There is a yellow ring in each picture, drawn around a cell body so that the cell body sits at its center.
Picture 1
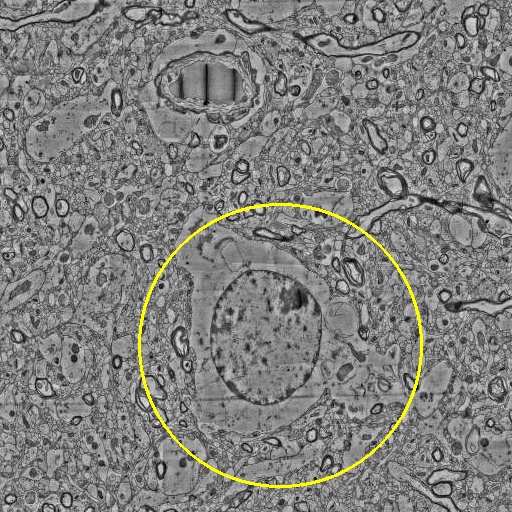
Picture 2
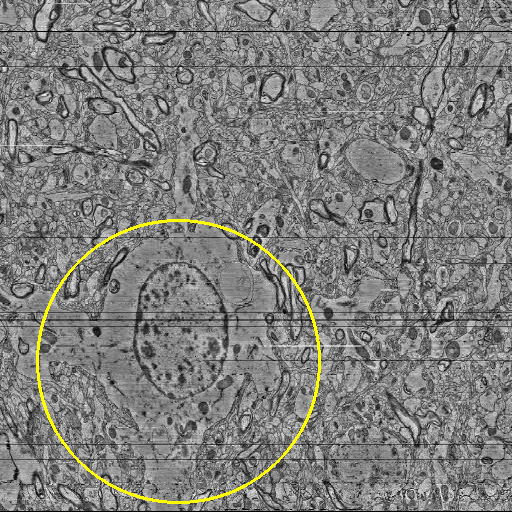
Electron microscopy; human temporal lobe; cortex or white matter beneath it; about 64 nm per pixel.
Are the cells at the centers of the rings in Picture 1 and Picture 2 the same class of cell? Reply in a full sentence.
Yes, the two cells are the same class of cell.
